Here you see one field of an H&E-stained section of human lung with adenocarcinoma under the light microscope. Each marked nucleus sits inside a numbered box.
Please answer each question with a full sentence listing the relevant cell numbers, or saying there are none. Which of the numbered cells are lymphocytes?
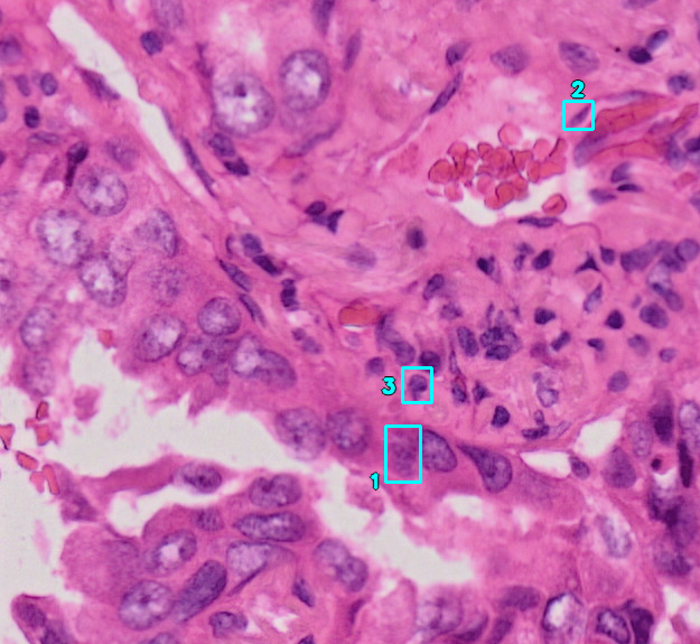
Only the cell numbered 3 is a lymphocyte; none of the others is.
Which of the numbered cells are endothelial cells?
Of all the numbered cells, only one is an endothelial cell, and that is cell 2.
